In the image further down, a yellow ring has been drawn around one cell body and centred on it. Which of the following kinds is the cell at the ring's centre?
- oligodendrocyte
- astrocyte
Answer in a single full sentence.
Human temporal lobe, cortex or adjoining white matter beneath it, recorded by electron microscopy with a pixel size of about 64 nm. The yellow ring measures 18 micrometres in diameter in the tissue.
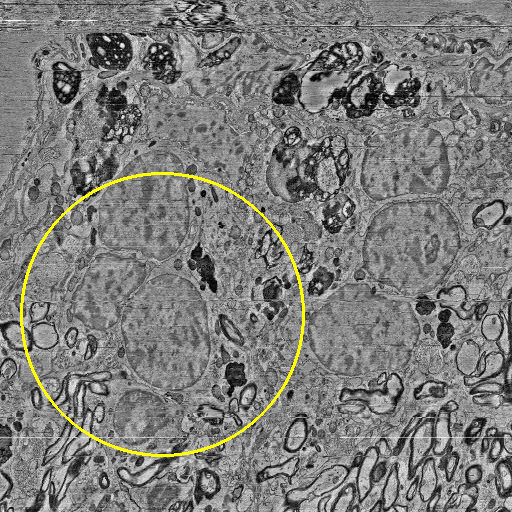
In the picture, the cell sitting at the centre of the yellow ring is an oligodendrocyte.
